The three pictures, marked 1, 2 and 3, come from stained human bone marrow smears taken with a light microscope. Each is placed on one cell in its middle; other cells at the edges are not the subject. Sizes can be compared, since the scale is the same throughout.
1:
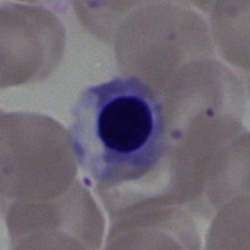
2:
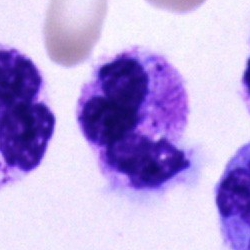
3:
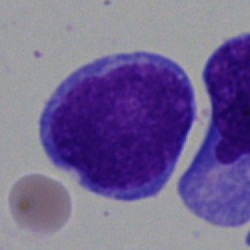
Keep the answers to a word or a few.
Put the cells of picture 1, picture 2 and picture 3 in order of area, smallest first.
1, 2, 3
